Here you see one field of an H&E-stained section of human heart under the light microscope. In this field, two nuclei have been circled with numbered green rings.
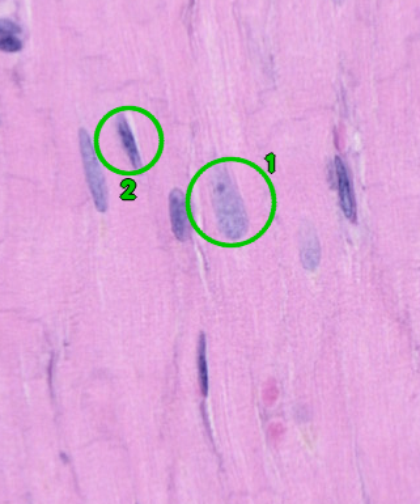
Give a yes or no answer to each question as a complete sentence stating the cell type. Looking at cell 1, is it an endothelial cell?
No, what is marked as number 1 is a cardiomyocyte rather than an endothelial cell.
